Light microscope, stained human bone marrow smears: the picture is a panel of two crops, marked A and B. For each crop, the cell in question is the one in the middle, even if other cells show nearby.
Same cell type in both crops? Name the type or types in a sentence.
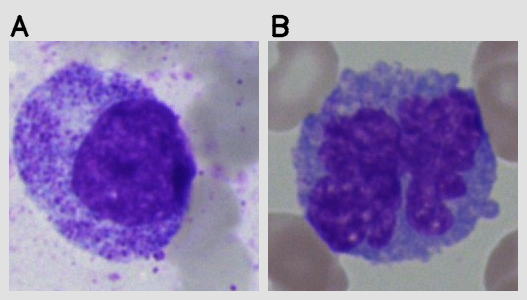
No, crop A shows a myelocyte, and the cell in crop B is a monocyte.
